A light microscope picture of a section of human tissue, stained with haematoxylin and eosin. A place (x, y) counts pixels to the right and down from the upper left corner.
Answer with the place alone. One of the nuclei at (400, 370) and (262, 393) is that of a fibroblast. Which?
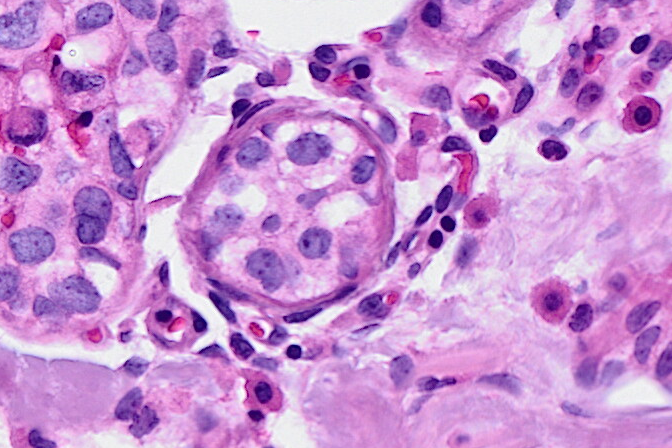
(400, 370)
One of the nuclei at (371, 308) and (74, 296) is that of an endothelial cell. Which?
(371, 308)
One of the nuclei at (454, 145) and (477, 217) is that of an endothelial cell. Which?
(454, 145)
